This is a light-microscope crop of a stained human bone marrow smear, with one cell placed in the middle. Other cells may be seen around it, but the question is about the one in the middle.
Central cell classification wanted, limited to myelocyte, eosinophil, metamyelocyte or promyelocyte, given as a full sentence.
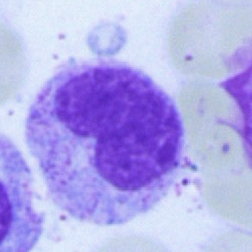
The cell marked by its central position in the crop is a metamyelocyte.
